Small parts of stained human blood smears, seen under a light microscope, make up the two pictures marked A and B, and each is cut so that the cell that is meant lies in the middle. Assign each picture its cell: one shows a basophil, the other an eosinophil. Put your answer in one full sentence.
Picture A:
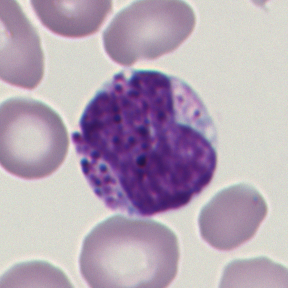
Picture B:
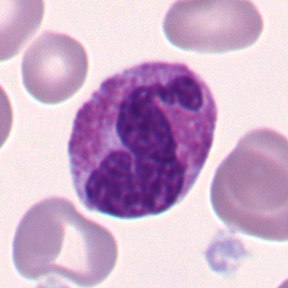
The cell in picture A is a basophil, and the one in picture B is an eosinophil.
